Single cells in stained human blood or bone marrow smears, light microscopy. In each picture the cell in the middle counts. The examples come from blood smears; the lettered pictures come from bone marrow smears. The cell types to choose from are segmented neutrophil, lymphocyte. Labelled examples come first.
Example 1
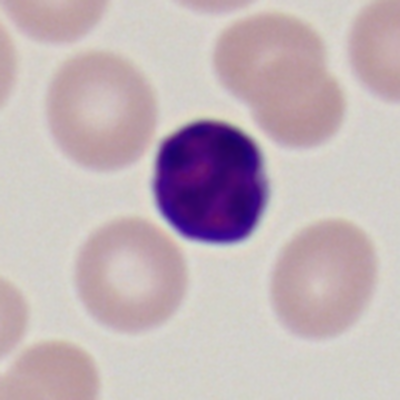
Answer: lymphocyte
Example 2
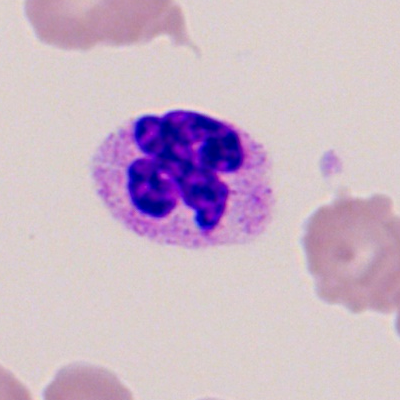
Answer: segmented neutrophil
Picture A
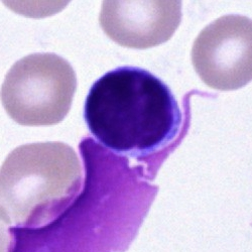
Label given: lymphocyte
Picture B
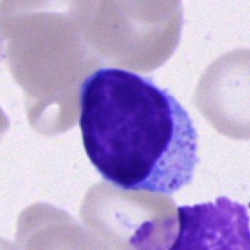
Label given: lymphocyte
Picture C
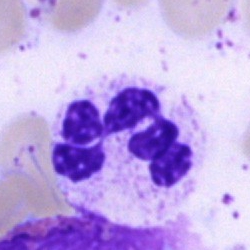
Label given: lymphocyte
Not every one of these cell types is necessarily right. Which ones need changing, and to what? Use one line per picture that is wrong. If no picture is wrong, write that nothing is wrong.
C is labelled lymphocyte; correct label: segmented neutrophil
